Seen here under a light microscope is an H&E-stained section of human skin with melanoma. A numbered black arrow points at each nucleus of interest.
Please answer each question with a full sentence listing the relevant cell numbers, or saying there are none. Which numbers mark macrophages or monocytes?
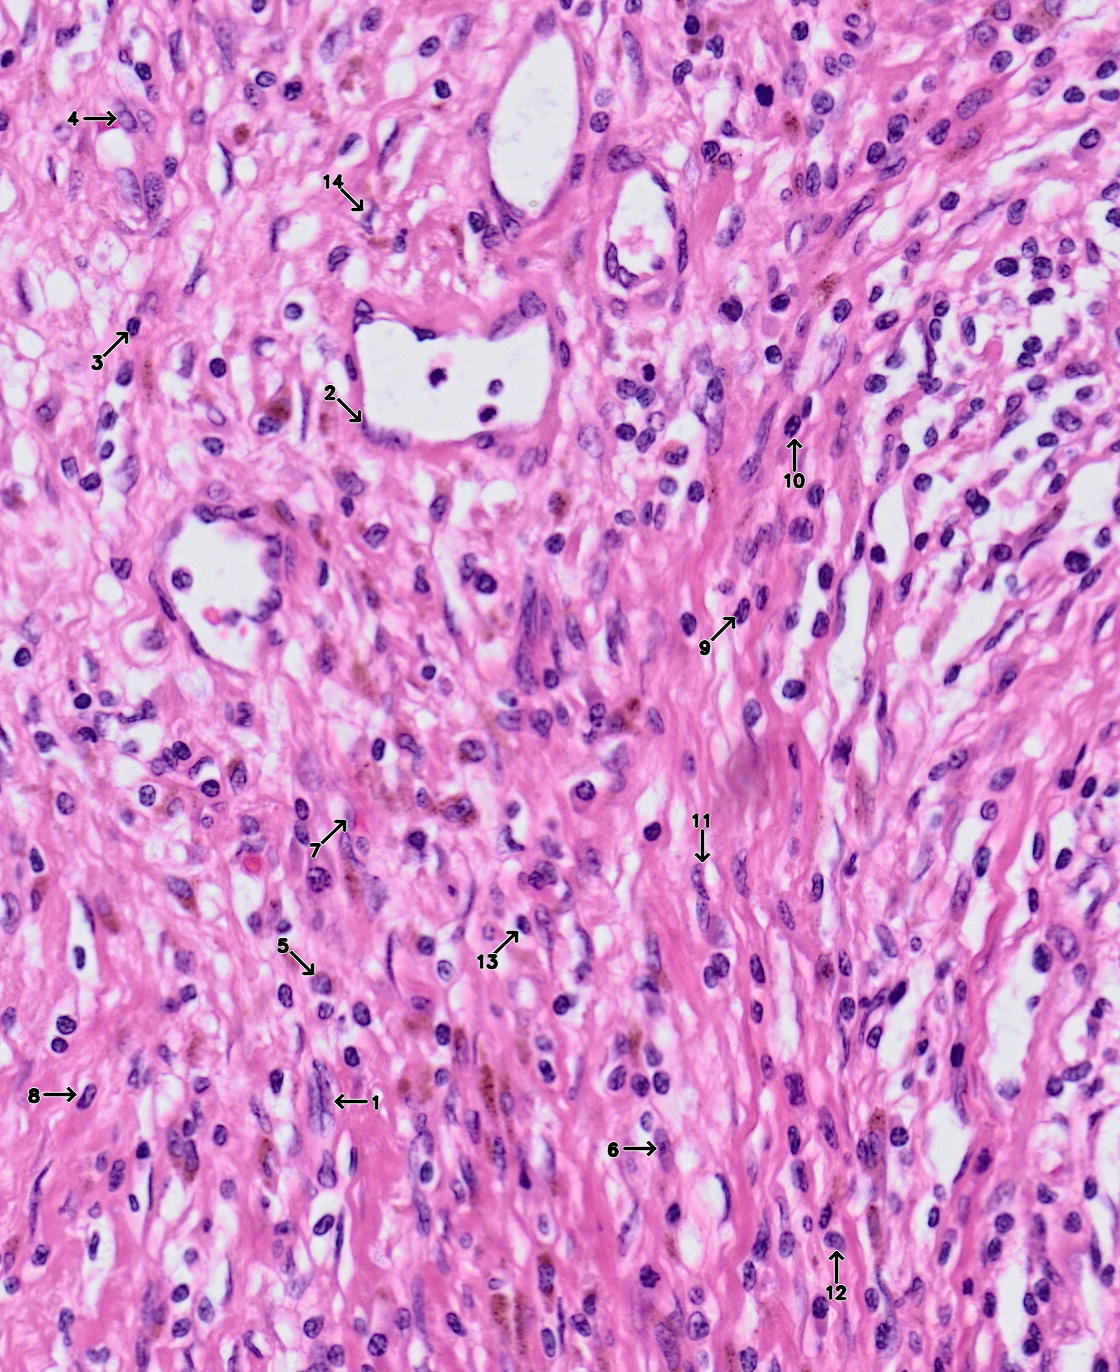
The cells that have been numbered 5, 6 and 11 are macrophages or monocytes.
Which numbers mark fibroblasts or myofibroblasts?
Cell number 14 alone is a fibroblast or myofibroblast; the rest are not.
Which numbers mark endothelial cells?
The cells marked with the numbers 1, 2, 4 and 7 are endothelial cells.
